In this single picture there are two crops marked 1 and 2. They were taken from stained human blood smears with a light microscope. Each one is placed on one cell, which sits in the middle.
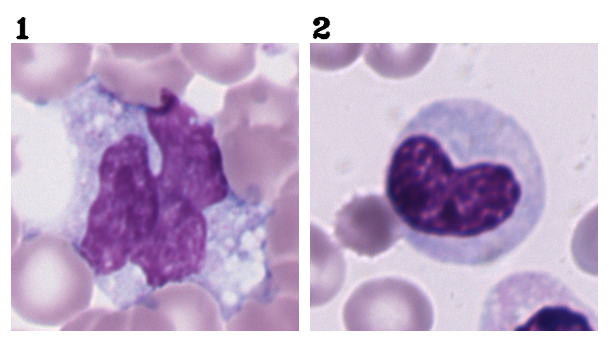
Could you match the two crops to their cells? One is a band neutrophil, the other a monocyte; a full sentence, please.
The cell at the middle is a monocyte in crop 1, but a band neutrophil in crop 2.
